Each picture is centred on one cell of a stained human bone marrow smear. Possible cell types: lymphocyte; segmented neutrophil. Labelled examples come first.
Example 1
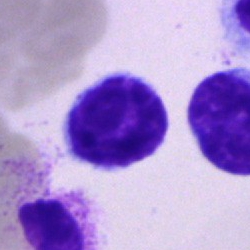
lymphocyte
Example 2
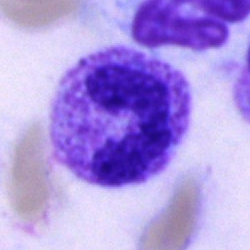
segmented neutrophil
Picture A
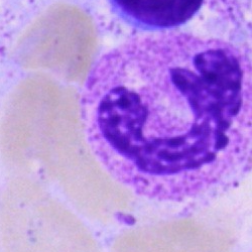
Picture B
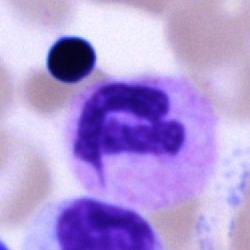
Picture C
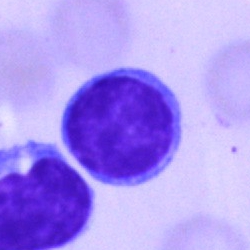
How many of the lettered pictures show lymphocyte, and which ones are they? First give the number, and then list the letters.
Count: 1 (C)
